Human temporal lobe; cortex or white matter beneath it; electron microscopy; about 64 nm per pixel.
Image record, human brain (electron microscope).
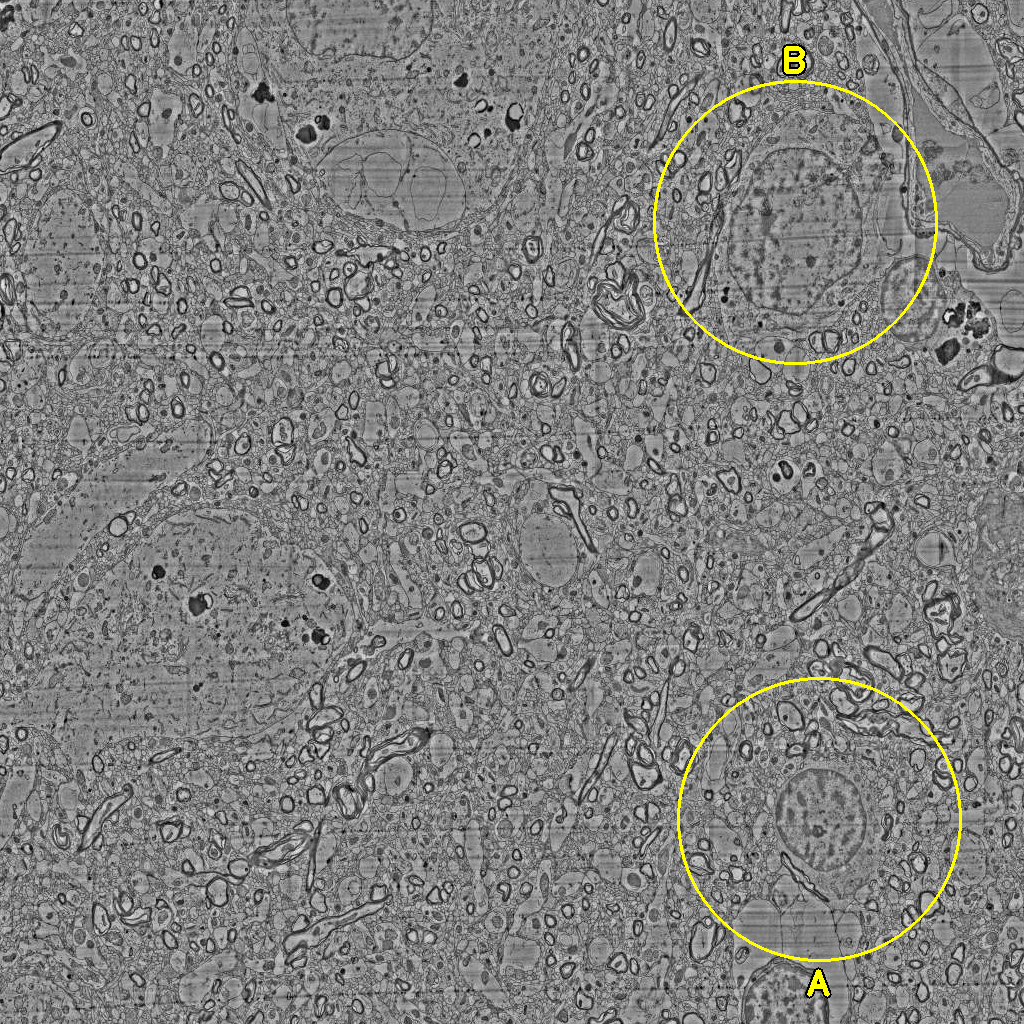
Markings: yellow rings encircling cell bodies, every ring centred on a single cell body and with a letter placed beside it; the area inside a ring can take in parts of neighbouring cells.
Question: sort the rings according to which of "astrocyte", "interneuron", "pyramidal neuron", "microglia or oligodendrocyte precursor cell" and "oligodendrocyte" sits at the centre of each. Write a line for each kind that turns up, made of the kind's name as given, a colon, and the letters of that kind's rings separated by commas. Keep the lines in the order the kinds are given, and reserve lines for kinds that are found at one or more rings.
interneuron: B
oligodendrocyte: A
